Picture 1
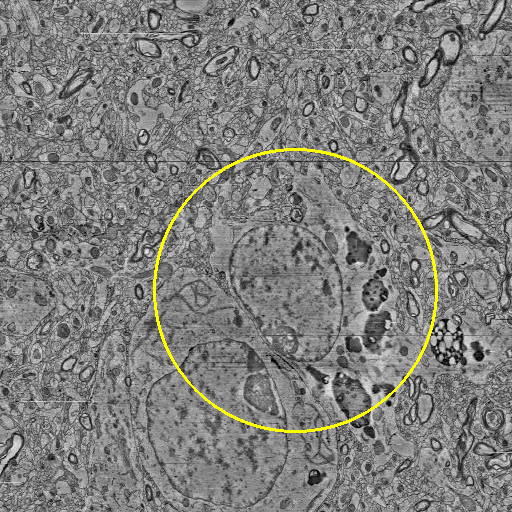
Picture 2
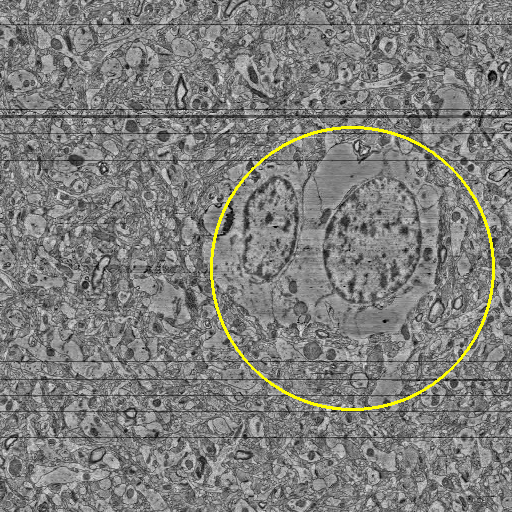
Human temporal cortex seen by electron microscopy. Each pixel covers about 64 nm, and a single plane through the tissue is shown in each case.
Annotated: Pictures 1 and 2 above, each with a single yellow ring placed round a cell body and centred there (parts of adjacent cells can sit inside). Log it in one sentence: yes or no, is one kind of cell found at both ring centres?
Yes, the ring centres of the two pictures hold cells of one kind.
